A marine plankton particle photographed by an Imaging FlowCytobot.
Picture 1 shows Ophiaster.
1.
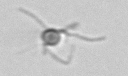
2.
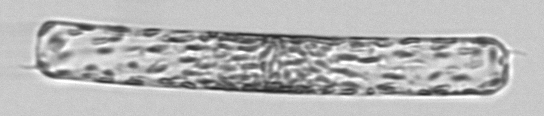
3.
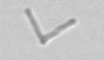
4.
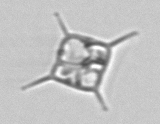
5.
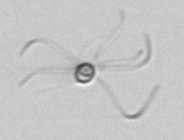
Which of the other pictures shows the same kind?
Picture 5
